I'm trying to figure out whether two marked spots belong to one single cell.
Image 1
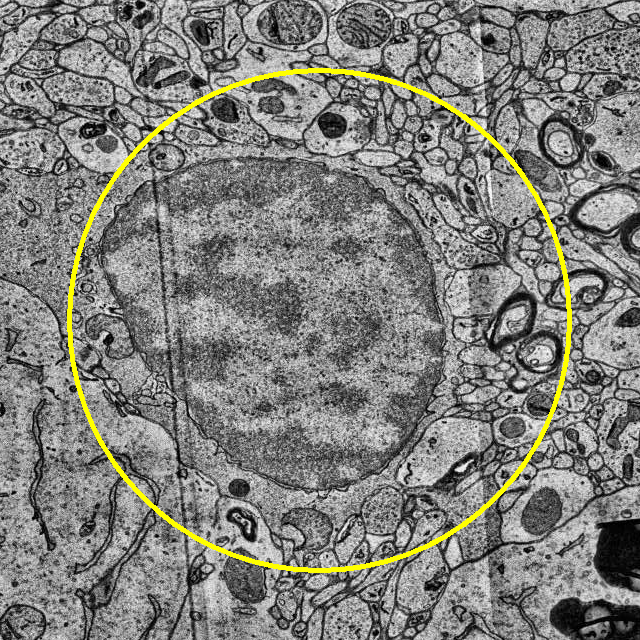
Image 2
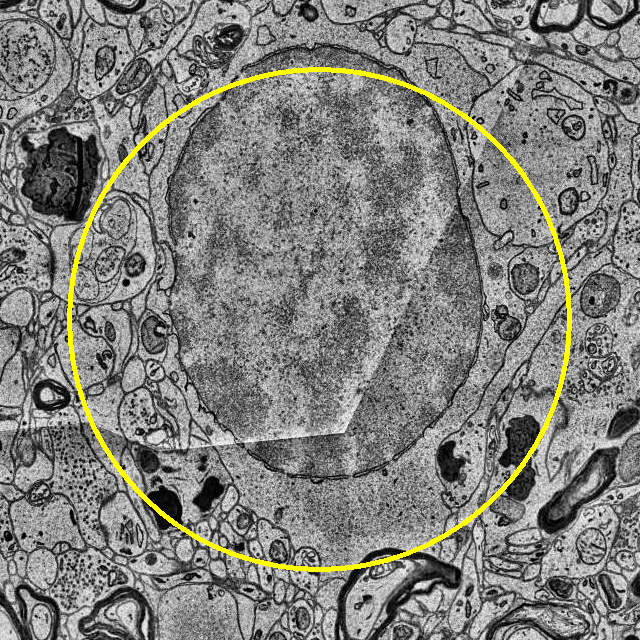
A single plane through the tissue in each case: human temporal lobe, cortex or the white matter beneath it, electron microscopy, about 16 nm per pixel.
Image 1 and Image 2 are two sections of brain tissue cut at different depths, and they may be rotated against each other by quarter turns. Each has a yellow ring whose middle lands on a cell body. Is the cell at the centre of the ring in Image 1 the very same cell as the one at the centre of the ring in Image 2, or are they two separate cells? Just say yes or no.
no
